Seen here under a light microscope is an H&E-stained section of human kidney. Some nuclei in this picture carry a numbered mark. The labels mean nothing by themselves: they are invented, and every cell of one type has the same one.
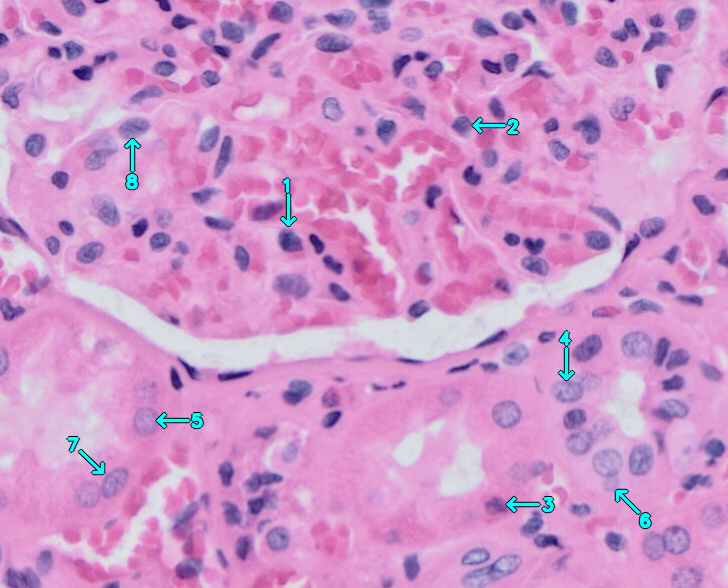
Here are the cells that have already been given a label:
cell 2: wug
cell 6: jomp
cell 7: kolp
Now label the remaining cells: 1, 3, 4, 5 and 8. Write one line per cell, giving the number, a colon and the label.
1: wug
3: kolp
4: jomp
5: kolp
8: wug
